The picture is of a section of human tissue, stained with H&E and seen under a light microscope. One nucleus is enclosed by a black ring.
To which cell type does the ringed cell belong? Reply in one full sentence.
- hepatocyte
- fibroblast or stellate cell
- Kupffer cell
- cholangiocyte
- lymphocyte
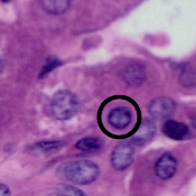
The category to which the ringed cell belongs is that of a cholangiocyte.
